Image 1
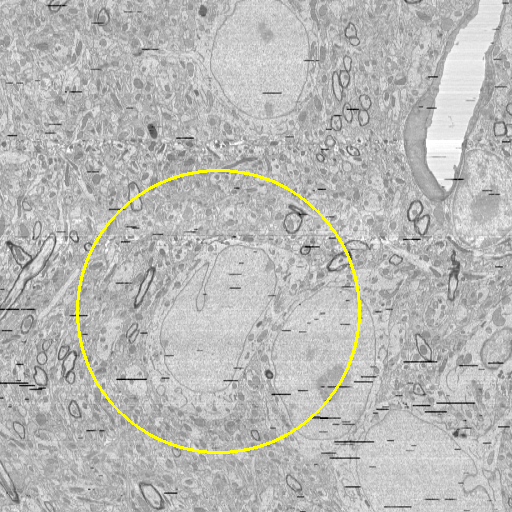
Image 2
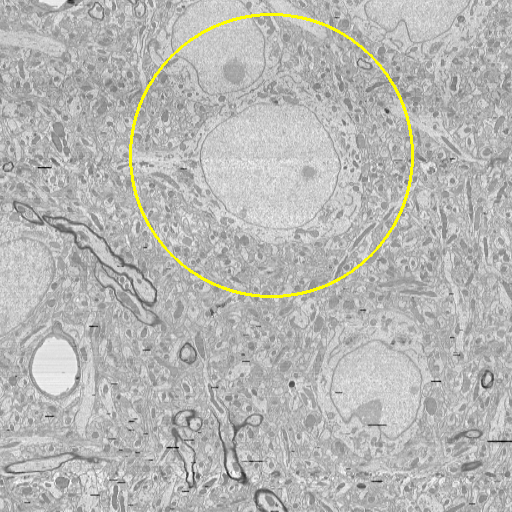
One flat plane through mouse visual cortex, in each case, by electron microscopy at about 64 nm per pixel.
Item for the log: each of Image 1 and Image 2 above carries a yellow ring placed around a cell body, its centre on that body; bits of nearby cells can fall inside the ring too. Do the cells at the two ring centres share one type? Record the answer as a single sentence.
Yes, the two cells at the ring centres in Image 1 and Image 2 share one type.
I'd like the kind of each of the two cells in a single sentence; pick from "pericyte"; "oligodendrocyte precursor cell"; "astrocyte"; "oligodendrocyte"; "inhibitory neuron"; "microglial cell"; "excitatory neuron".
Each of the two pictures has an excitatory neuron at the ring centre.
